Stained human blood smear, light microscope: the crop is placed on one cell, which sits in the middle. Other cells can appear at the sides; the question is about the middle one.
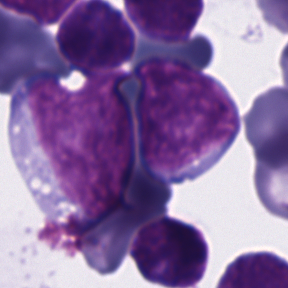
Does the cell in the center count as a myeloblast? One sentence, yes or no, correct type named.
Yes, the middle of the crop is occupied by a myeloblast.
